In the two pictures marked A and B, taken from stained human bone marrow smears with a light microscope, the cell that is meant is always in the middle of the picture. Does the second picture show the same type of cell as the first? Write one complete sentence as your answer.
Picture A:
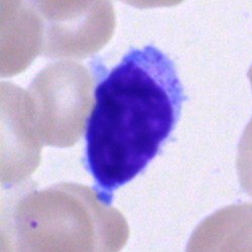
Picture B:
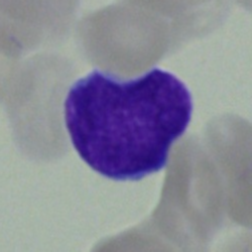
No. Picture A shows a lymphocyte, but picture B shows a blast.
